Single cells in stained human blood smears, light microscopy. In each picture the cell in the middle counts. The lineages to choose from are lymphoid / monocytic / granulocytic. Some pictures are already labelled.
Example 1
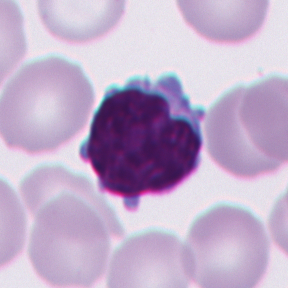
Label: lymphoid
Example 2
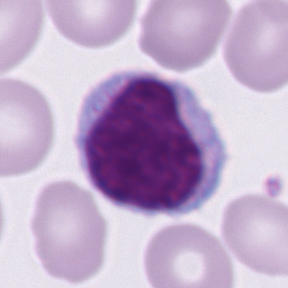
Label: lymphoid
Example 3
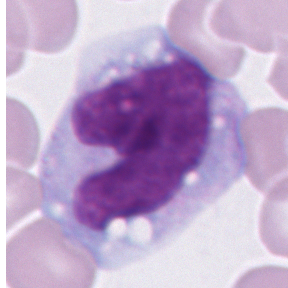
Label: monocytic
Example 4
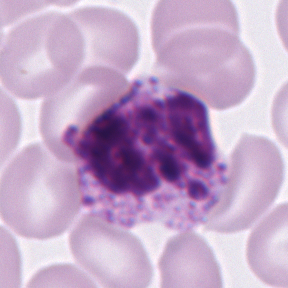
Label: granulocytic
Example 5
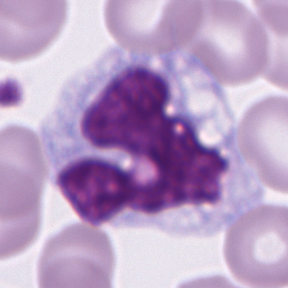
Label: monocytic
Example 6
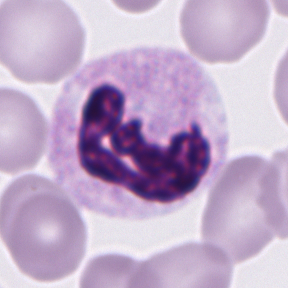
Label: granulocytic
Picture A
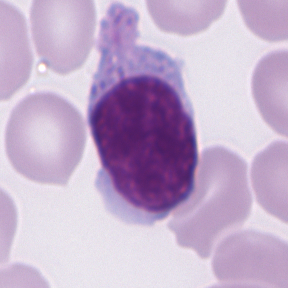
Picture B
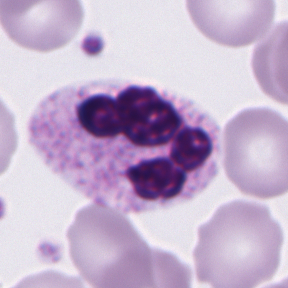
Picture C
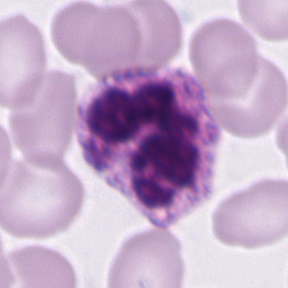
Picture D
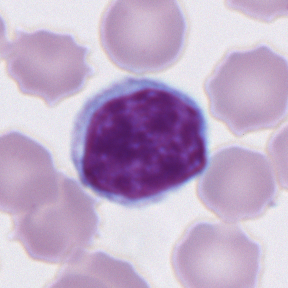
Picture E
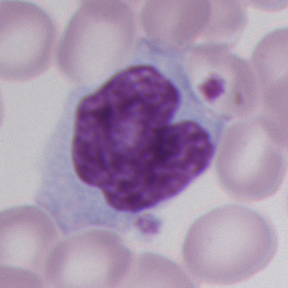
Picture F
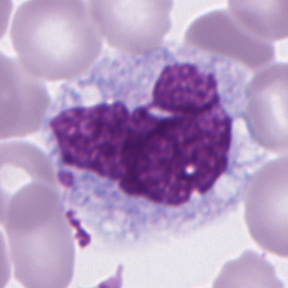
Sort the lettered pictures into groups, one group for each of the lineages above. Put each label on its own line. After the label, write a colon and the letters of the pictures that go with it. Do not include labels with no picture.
lymphoid: A, D
monocytic: E, F
granulocytic: B, C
